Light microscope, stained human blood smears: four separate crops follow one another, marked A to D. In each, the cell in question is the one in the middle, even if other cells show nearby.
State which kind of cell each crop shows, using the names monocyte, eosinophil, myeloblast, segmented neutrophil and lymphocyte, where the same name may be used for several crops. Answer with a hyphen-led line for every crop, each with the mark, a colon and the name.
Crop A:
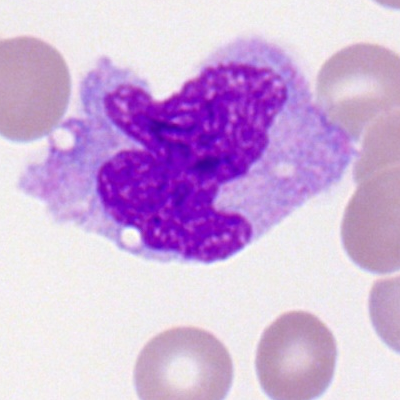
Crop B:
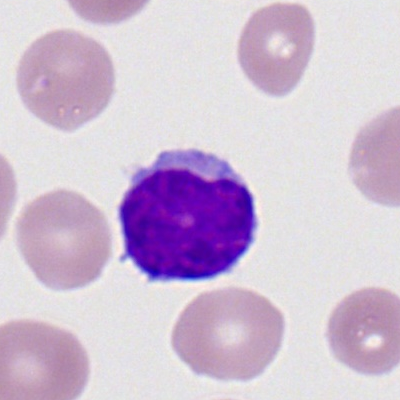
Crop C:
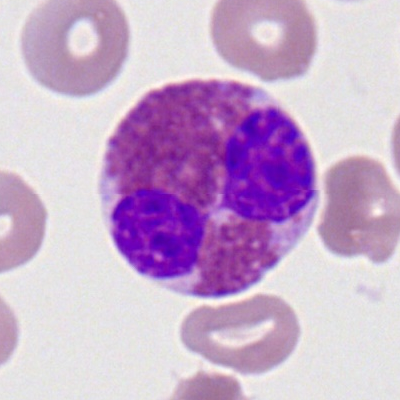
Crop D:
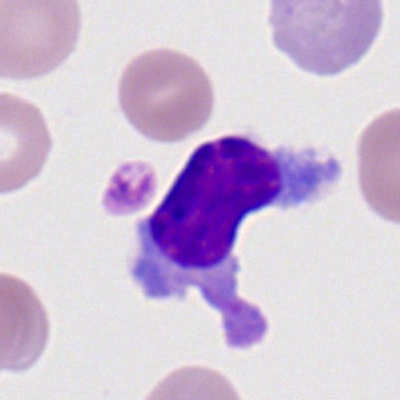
- A: monocyte
- B: lymphocyte
- C: eosinophil
- D: lymphocyte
